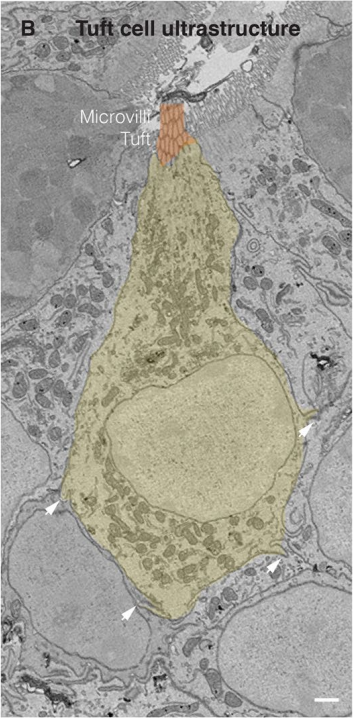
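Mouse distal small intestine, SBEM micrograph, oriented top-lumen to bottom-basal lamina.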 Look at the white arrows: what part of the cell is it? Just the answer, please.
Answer: Cytoplasmic spinules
